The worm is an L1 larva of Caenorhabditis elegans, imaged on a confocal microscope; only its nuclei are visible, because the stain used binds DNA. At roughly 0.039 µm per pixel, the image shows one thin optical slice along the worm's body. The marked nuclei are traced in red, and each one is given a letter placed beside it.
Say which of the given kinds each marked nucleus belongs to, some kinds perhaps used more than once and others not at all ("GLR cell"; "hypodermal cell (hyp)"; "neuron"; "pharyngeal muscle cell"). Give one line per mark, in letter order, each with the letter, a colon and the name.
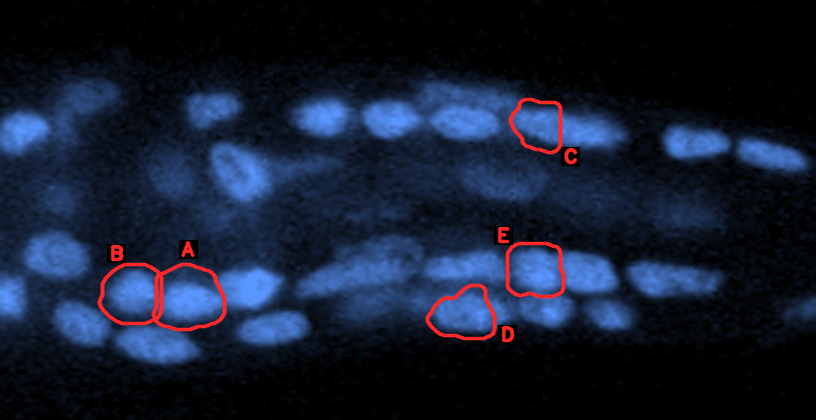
A: neuron
B: neuron
C: hypodermal cell (hyp)
D: hypodermal cell (hyp)
E: pharyngeal muscle cell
